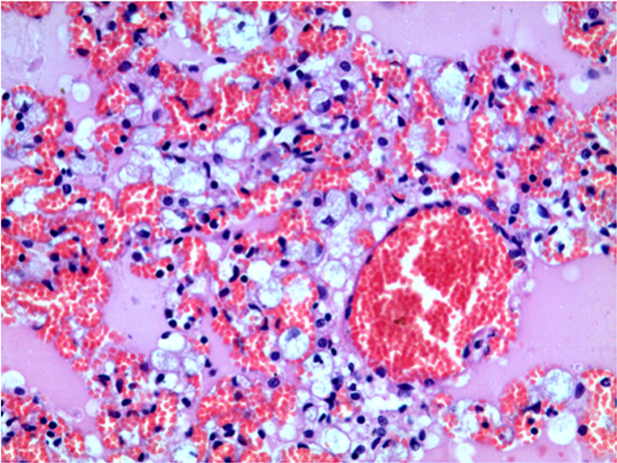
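Thin alveolar walls are crowded with red blood cells, and a large round vessel on the right is packed full of them. Many air spaces are filled with smooth, homogeneous pale pink fluid. Scattered through the spaces are rounded cells with pale, bubbly, clear cytoplasm and small nuclei. This is lung with foamy macrophages, congestion and edema.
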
